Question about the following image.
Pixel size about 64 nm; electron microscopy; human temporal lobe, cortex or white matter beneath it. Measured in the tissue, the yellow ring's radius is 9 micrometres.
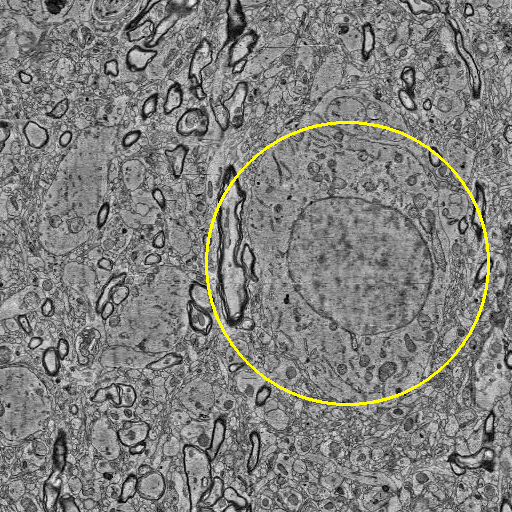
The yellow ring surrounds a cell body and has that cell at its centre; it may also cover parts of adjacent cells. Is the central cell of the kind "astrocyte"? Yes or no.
No, it is of another kind.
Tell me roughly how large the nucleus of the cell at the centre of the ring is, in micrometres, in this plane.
The nucleus is approximately 10 micrometers long by 9 micrometers wide in this plane.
